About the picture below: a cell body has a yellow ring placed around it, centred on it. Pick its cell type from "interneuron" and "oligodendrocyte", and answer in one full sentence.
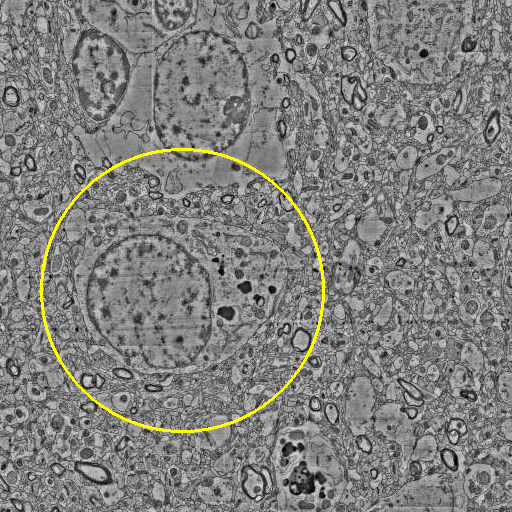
In the picture, an interneuron is the cell sitting at the centre of the yellow ring.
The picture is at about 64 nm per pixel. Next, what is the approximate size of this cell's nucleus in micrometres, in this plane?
About 8 micrometres across in this plane, for the nucleus.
